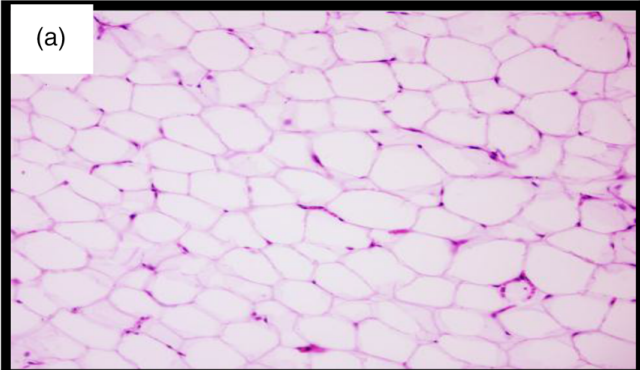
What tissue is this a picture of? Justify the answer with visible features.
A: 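Large, empty-looking polygonal cells packed edge to edge. Each cell is bounded by a thin pink membrane rim. Small flattened dark nuclei sit at the cell peripheries.
Conclusion: adipose tissue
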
